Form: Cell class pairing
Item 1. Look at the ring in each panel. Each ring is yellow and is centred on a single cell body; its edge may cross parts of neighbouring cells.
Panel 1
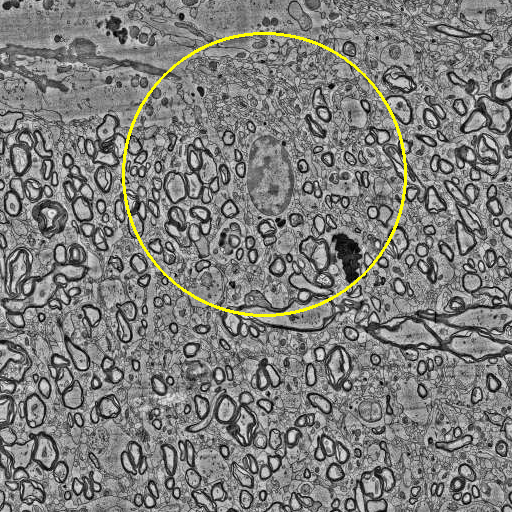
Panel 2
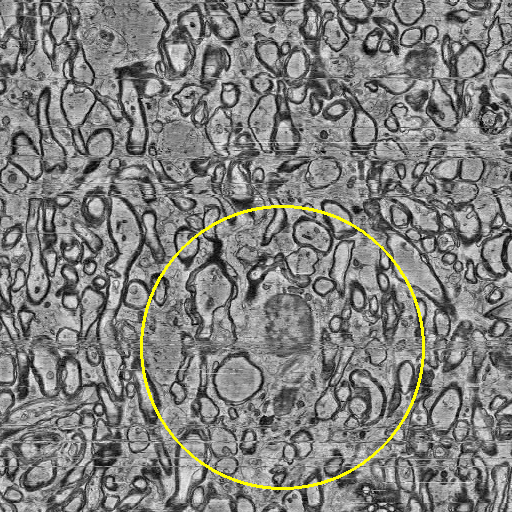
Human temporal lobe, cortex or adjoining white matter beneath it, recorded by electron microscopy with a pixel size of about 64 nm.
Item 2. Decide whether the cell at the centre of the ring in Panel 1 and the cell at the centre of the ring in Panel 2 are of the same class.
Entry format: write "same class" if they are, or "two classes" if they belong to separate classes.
same class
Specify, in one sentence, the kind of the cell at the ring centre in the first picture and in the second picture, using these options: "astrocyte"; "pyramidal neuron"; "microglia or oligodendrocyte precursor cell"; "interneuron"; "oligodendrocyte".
The ring centre holds a microglial cell or oligodendrocyte precursor cell in each of the two pictures.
